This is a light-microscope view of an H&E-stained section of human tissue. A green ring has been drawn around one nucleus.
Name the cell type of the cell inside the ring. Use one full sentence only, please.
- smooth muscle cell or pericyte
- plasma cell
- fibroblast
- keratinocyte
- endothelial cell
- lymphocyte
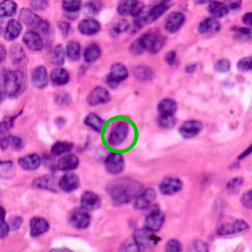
Recorded by type, the cell inside the ring is a lymphocyte.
